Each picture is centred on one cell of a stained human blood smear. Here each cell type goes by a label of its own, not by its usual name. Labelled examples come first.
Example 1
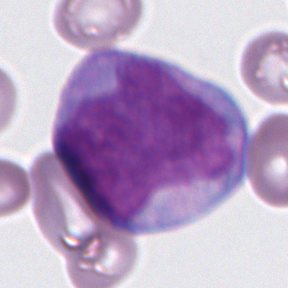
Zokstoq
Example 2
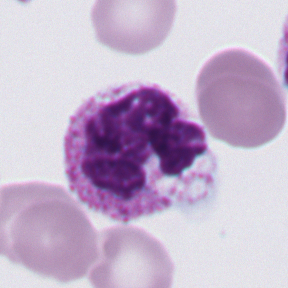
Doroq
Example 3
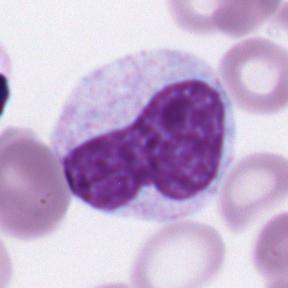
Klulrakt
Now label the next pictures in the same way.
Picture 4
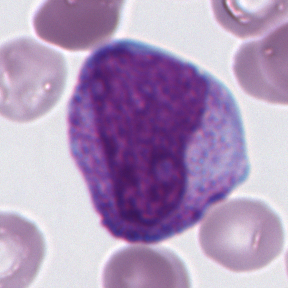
Zokstoq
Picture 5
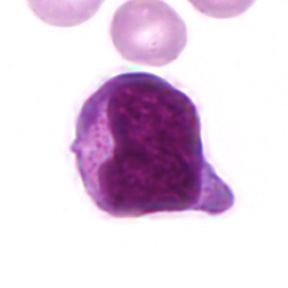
Zokstoq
